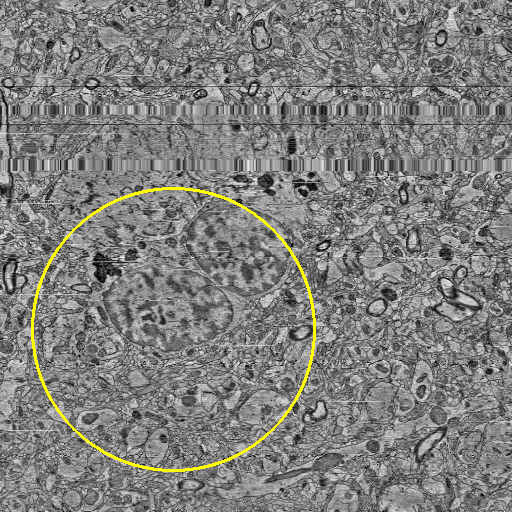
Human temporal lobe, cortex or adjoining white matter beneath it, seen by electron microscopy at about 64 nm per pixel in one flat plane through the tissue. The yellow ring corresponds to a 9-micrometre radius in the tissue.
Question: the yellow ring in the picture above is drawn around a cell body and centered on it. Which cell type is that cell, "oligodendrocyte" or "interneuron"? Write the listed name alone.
oligodendrocyte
